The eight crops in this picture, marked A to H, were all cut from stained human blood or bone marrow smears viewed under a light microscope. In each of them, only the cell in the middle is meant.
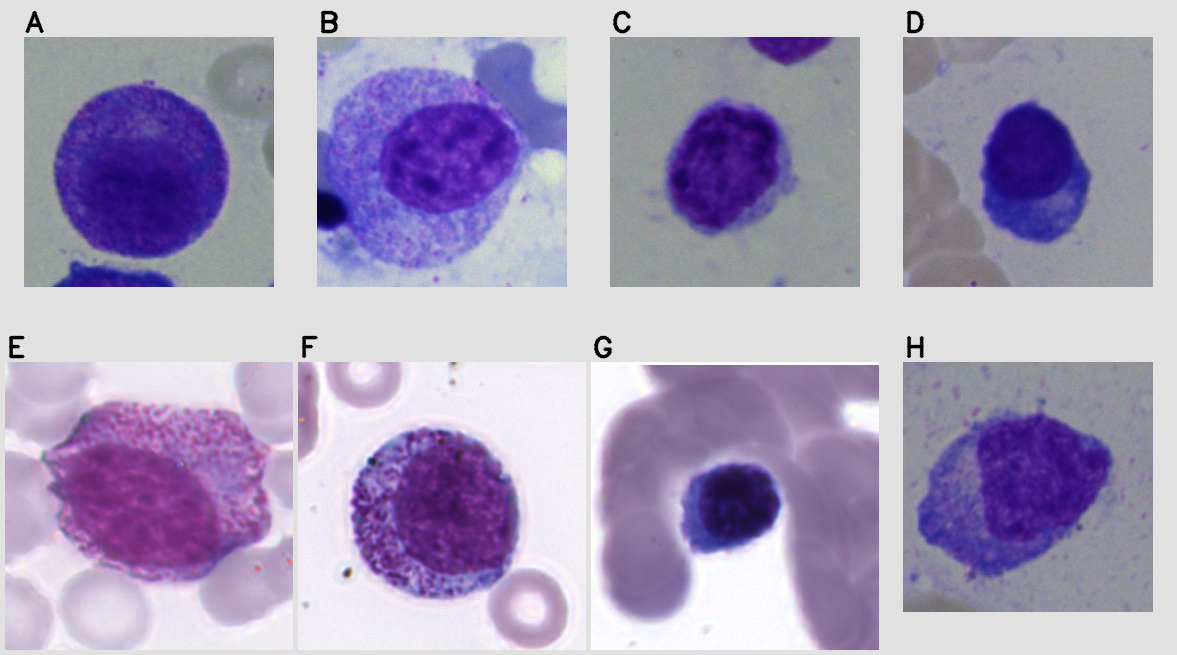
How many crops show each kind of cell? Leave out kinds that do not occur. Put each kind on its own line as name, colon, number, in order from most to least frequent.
promyelocyte: 5
plasma cell: 2
hairy cell: 1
